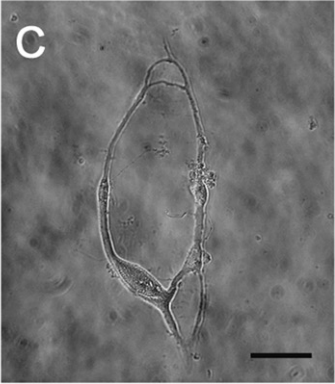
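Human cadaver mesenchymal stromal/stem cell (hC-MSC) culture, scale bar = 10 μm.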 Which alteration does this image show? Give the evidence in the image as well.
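The loop encloses a clear central space.
Hence: ring-shaped morphology.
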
